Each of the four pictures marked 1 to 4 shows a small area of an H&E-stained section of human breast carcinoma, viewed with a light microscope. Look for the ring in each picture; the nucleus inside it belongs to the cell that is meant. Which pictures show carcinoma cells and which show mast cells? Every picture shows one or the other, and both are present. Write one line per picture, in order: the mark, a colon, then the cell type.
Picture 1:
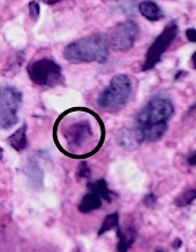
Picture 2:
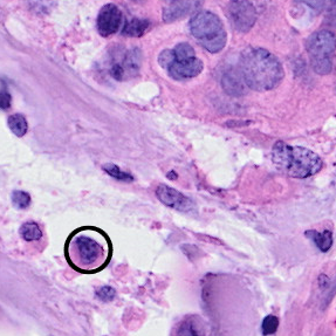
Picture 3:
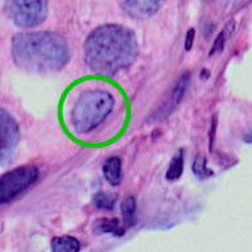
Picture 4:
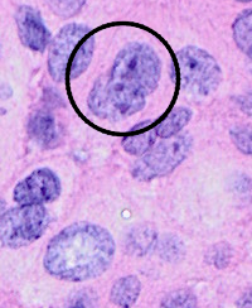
1: carcinoma cell
2: mast cell
3: carcinoma cell
4: carcinoma cell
